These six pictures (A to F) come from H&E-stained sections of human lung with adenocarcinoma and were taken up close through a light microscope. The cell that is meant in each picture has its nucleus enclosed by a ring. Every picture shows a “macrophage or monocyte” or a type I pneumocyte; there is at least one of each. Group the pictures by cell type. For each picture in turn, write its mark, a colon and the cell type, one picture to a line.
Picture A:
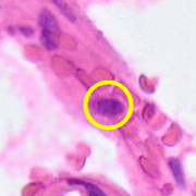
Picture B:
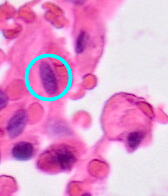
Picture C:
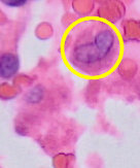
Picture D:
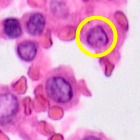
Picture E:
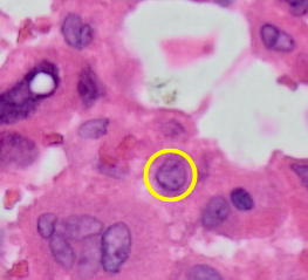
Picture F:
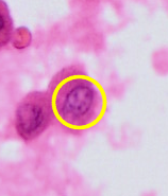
A: type I pneumocyte
B: type I pneumocyte
C: macrophage or monocyte
D: macrophage or monocyte
E: macrophage or monocyte
F: macrophage or monocyte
